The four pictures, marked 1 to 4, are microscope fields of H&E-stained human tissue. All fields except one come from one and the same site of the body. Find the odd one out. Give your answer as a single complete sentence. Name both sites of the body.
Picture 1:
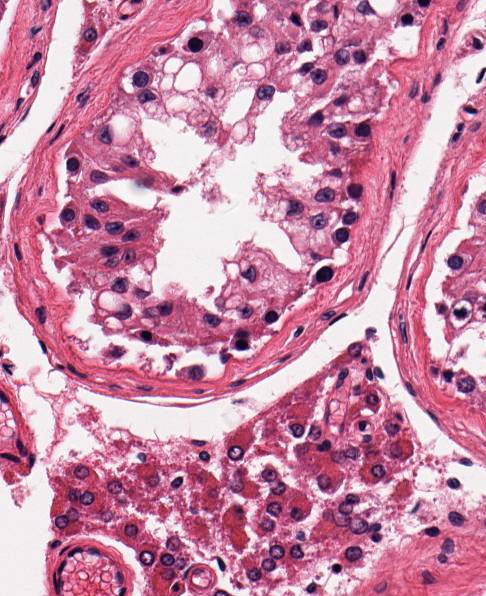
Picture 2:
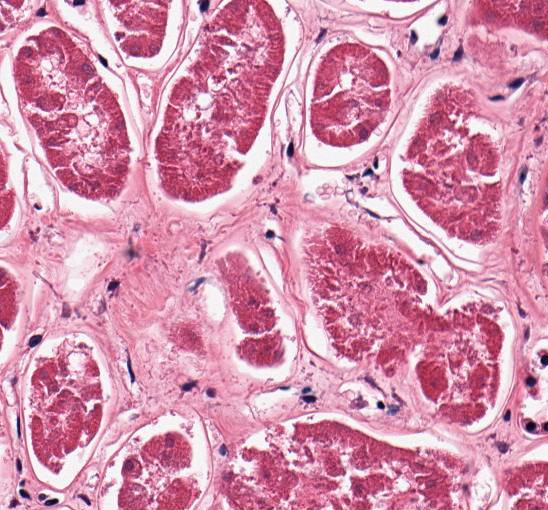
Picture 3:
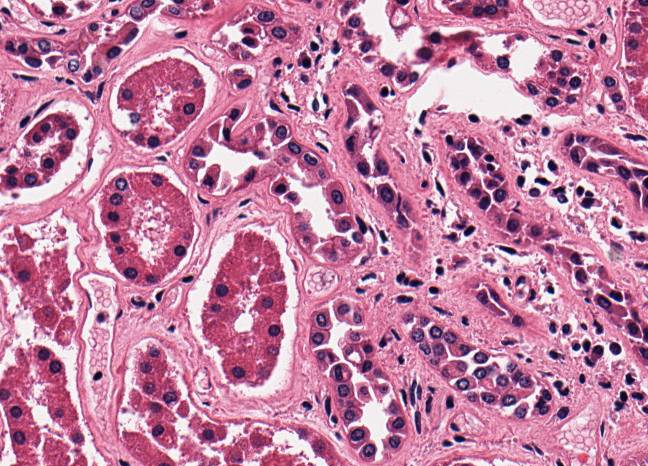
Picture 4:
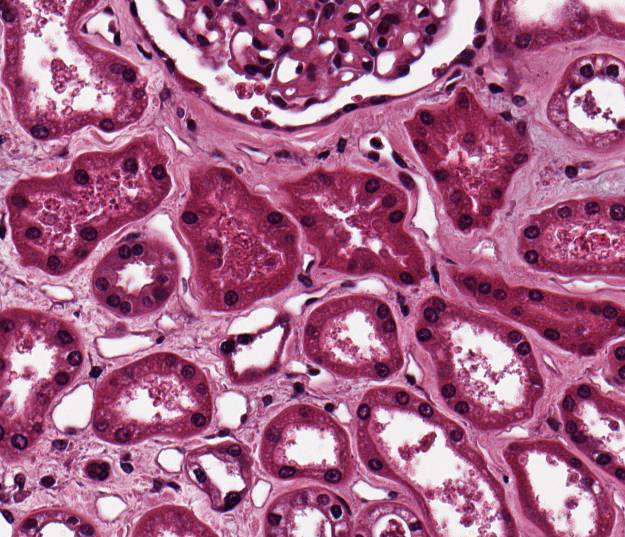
Unlike the rest, which come from the renal cortex, picture 1 comes from the testis.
